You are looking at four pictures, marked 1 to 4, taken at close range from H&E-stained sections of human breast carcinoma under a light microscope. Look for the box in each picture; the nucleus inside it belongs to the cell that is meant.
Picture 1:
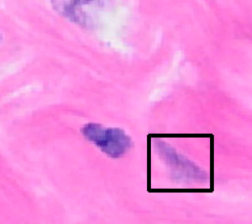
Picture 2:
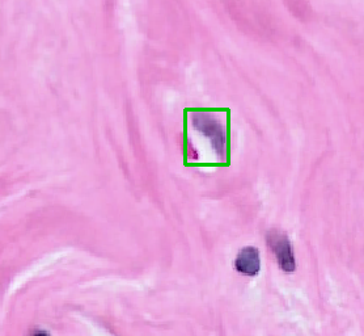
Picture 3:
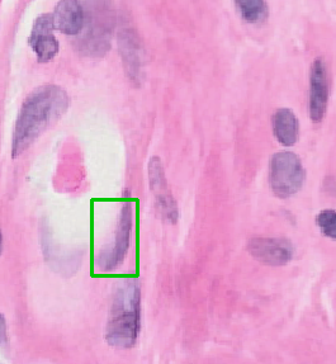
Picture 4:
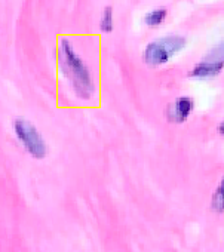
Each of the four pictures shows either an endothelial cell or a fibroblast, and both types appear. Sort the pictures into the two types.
1: fibroblast
2: endothelial cell
3: endothelial cell
4: fibroblast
